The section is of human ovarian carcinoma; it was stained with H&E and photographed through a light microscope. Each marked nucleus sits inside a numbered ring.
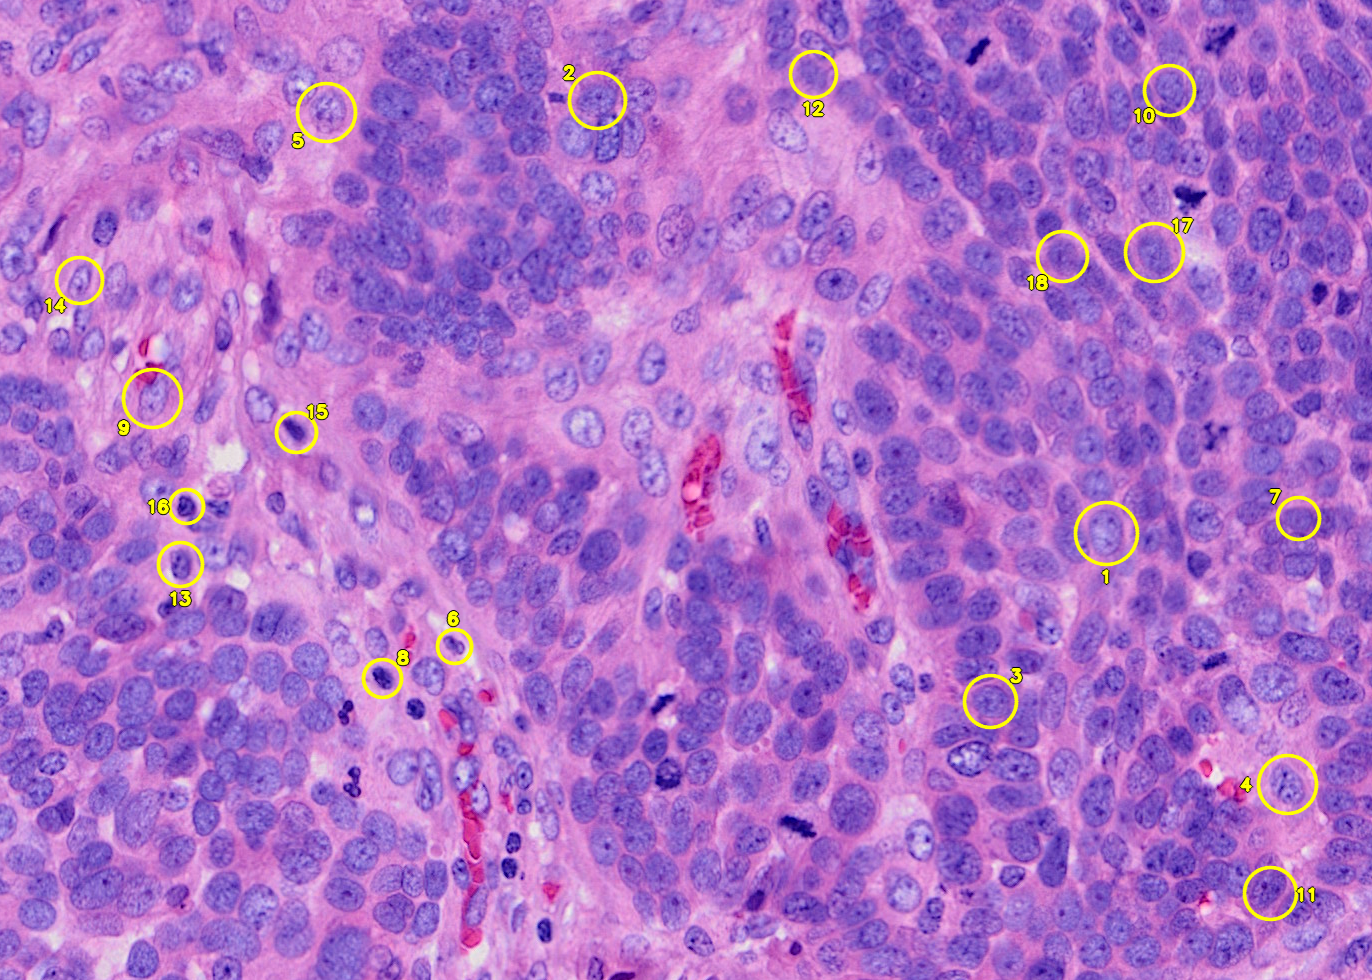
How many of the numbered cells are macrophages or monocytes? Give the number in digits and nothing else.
1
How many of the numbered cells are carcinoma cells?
9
